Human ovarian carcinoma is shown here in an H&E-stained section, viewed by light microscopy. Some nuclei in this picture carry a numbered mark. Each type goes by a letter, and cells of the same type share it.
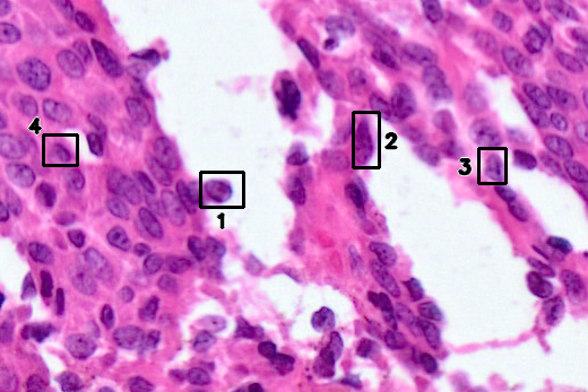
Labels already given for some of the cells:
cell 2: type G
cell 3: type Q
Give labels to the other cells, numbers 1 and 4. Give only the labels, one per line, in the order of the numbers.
type G
type G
